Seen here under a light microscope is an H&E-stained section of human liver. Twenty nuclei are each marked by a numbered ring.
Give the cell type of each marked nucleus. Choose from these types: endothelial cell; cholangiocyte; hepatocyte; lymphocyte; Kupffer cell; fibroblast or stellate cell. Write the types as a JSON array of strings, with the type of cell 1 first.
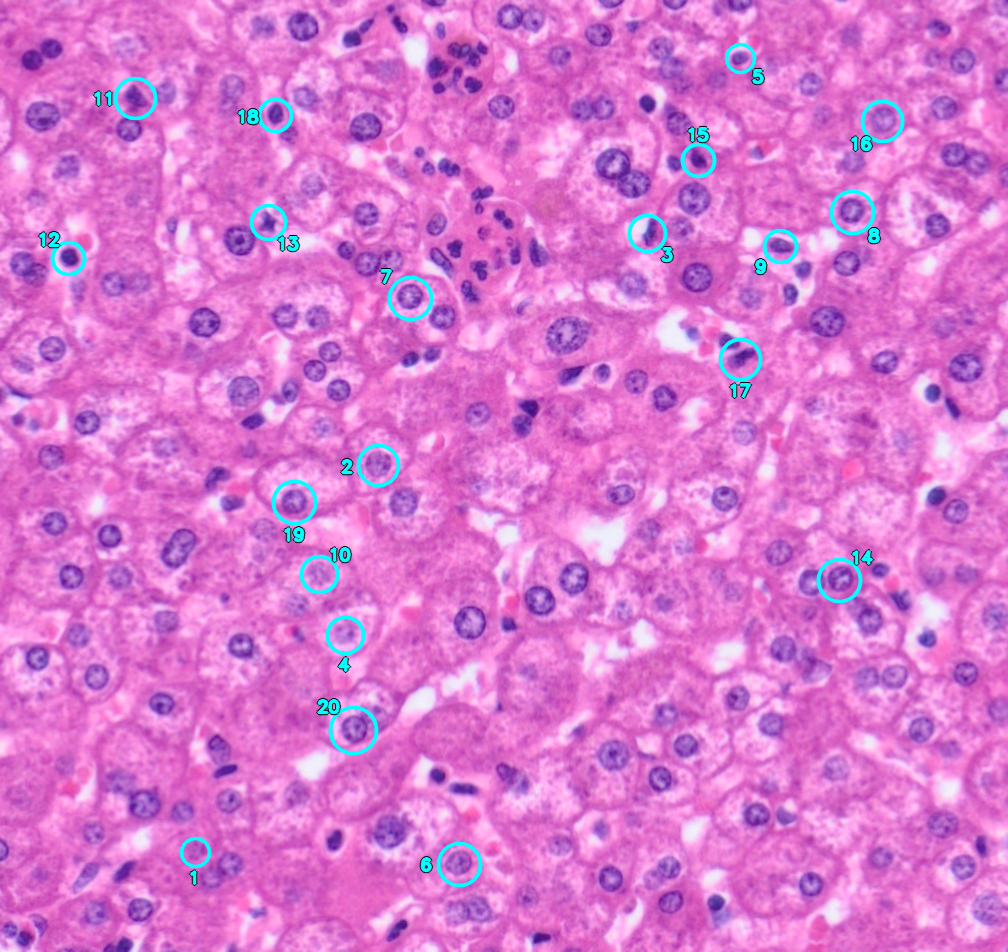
["hepatocyte", "hepatocyte", "endothelial cell", "hepatocyte", "lymphocyte", "hepatocyte", "hepatocyte", "hepatocyte", "Kupffer cell", "hepatocyte", "endothelial cell", "lymphocyte", "endothelial cell", "hepatocyte", "fibroblast or stellate cell", "hepatocyte", "fibroblast or stellate cell", "lymphocyte", "hepatocyte", "hepatocyte"]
